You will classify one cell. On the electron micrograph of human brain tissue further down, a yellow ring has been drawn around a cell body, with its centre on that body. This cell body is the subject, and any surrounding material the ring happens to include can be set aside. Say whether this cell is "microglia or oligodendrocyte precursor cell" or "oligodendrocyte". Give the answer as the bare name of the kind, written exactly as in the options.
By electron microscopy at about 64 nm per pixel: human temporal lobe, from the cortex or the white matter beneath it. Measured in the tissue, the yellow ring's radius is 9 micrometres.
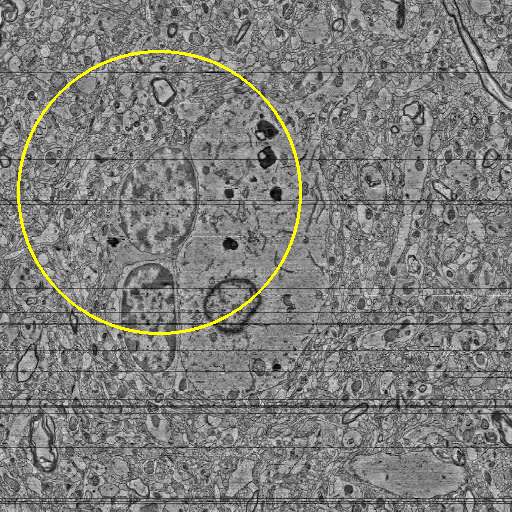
oligodendrocyte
